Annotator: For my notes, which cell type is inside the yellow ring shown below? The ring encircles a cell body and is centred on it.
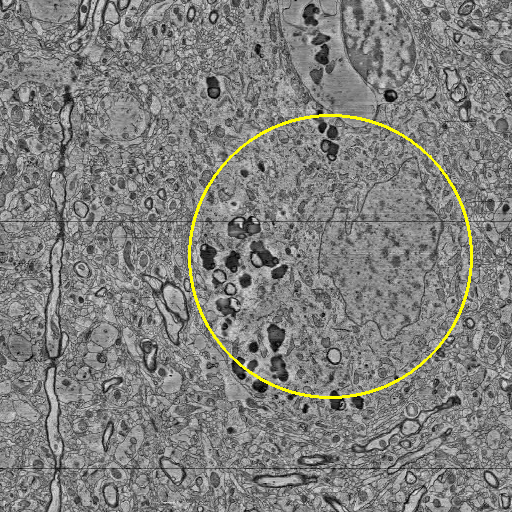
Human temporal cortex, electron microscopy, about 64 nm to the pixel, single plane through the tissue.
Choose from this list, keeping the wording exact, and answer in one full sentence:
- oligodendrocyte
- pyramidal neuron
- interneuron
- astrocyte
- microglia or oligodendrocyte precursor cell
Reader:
At the centre of the yellow ring there is a pyramidal neuron, as shown in the picture.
